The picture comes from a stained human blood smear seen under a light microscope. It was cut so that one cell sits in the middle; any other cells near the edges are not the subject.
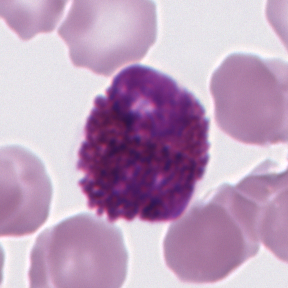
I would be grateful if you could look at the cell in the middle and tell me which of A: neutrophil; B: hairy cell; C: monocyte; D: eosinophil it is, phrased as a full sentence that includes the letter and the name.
Option D is correct here, and the cell in the middle is an eosinophil.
